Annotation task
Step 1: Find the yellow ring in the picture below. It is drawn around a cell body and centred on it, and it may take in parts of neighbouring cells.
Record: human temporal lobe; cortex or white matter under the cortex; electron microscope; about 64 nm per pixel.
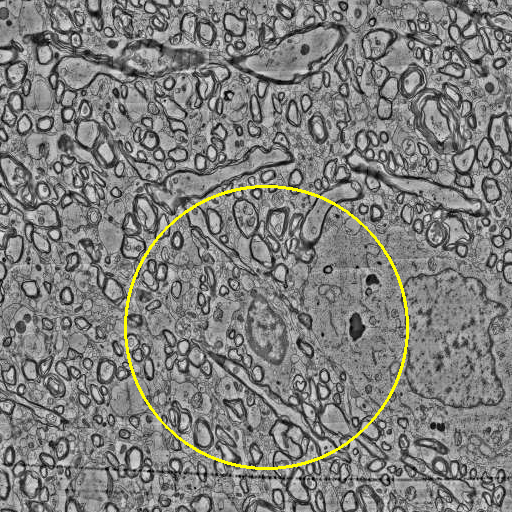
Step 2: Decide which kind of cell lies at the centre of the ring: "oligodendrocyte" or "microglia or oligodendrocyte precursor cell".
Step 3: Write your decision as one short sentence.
The kind of cell at the ring's centre is an oligodendrocyte.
